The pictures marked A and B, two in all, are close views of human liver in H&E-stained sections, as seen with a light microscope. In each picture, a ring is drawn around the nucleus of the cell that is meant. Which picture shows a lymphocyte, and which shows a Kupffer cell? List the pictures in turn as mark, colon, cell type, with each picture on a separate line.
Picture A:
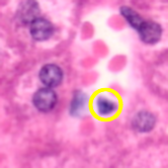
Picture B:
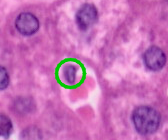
A: lymphocyte
B: Kupffer cell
